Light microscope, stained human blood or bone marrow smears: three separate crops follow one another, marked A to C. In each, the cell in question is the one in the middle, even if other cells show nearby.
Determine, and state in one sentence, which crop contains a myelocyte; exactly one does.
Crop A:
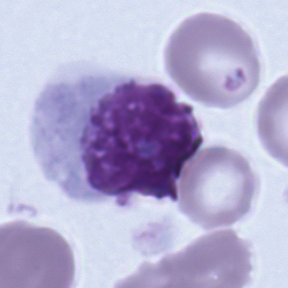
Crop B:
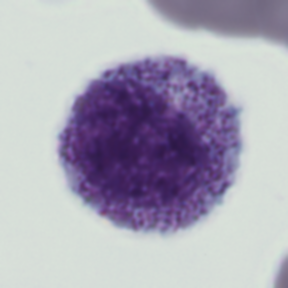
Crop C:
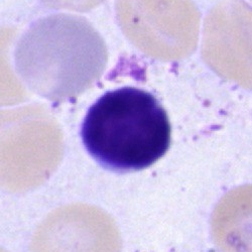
Crop B is the crop that shows a myelocyte in its middle.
